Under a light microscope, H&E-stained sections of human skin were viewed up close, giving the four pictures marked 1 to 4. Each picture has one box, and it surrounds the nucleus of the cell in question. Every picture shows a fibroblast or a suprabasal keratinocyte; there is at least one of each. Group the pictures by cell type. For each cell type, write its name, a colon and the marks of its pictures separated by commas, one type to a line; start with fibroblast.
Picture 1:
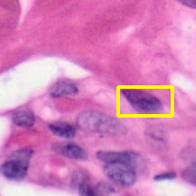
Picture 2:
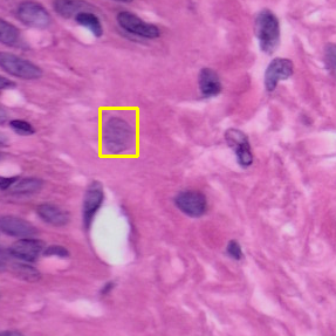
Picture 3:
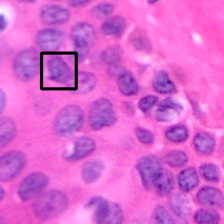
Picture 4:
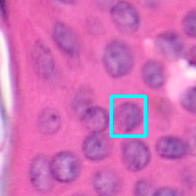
fibroblast: 1, 2
suprabasal keratinocyte: 3, 4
